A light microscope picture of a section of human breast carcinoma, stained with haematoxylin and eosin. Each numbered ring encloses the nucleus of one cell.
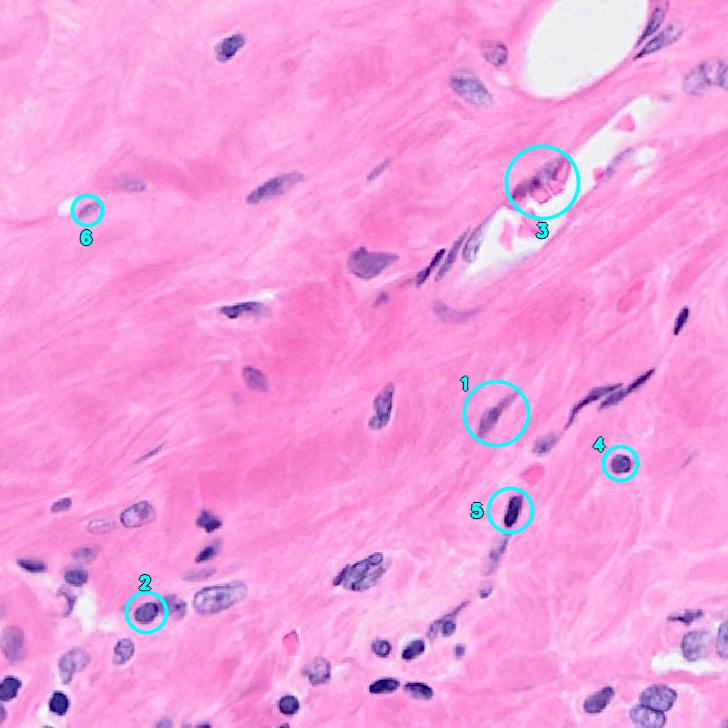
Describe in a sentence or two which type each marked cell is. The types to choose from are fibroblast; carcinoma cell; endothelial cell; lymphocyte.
Cells 1 and 6 are fibroblasts. Cells 2, 4 and 5 are lymphocytes. Cell 3 is an endothelial cell.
